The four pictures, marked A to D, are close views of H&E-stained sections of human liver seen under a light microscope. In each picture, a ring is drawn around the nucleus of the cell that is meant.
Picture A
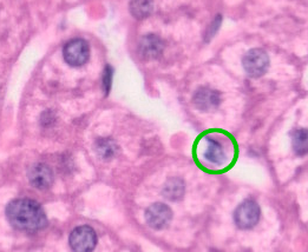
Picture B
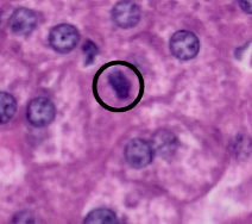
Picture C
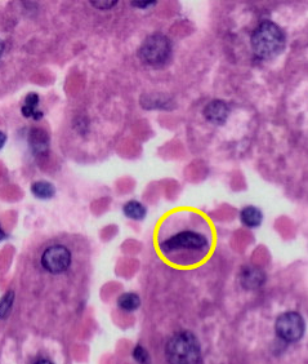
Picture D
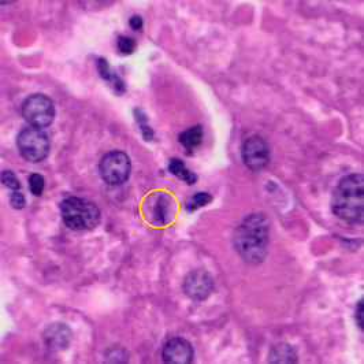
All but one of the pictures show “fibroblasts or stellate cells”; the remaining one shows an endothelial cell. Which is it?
A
